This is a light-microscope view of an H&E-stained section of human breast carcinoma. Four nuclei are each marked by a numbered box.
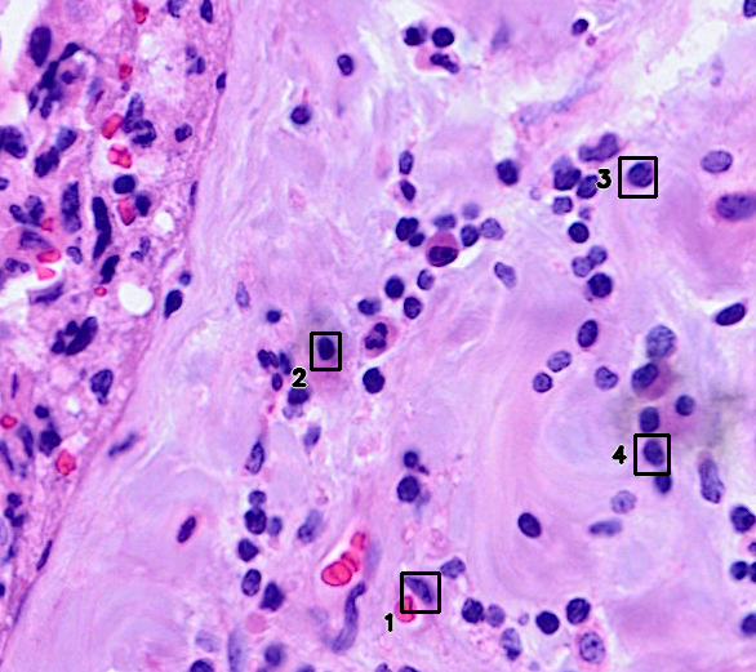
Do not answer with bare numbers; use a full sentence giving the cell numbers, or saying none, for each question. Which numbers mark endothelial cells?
Of the marked cells, the one numbered 1 is an endothelial cell and the rest are not.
